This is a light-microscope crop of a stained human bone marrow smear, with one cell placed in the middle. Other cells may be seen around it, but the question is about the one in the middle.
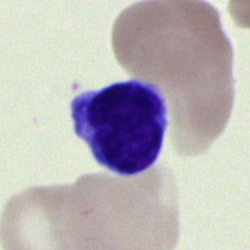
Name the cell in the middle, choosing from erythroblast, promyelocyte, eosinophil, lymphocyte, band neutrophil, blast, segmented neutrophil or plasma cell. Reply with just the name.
lymphocyte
